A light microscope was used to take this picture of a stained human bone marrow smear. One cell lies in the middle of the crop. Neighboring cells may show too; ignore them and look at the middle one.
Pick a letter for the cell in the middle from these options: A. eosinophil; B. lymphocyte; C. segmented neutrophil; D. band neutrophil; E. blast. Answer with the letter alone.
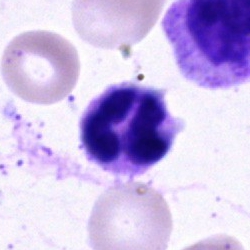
C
